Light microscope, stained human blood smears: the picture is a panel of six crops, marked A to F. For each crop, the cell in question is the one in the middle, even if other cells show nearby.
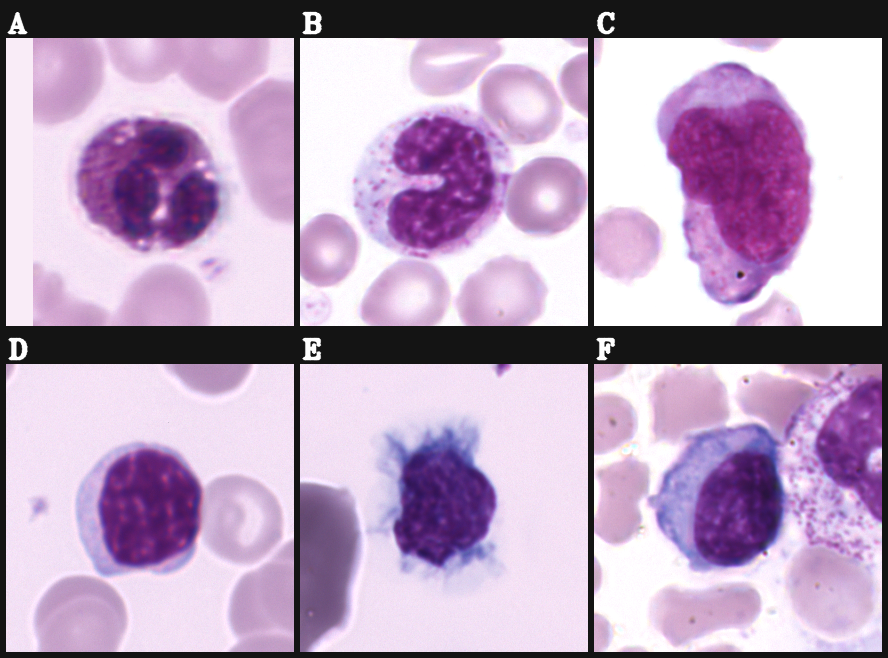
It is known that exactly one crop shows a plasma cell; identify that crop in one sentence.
As for which crop shows a plasma cell, it is crop F.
